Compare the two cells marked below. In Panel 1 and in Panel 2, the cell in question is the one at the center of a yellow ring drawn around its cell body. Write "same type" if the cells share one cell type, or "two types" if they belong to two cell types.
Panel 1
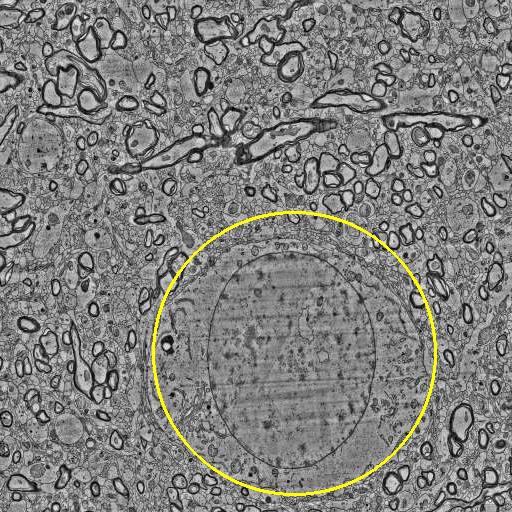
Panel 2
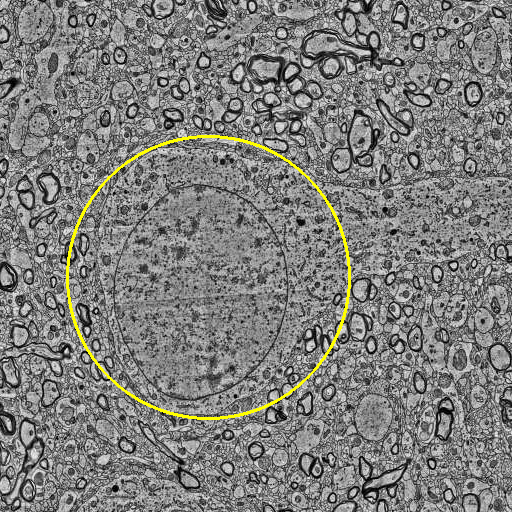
same type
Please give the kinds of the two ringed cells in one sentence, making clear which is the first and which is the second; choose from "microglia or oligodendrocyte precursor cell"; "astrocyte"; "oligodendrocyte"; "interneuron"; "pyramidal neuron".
In the first picture and in the second, the ring is centred on a pyramidal neuron.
